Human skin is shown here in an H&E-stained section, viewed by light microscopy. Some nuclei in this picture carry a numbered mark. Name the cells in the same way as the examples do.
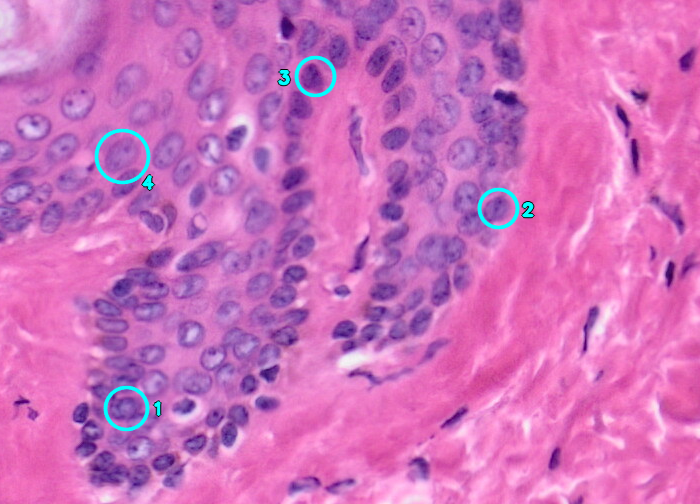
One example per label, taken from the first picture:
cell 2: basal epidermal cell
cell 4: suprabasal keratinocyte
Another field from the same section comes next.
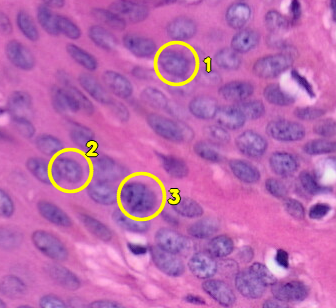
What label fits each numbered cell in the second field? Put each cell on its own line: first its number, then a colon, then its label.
1: suprabasal keratinocyte
2: suprabasal keratinocyte
3: basal epidermal cell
